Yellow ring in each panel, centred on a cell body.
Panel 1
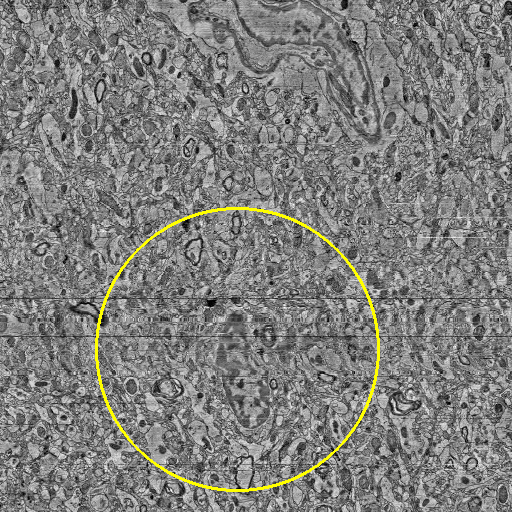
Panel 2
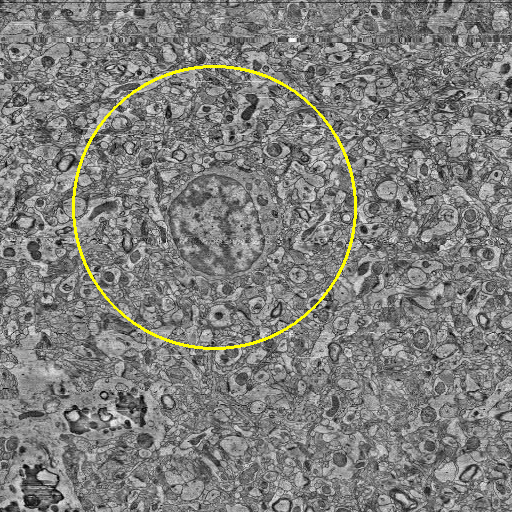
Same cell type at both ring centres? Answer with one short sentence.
No, the two cells are of two types.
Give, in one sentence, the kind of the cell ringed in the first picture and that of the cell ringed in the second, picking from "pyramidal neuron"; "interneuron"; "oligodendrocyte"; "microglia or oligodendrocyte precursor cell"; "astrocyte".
For the first picture it is a microglial cell or oligodendrocyte precursor cell; for the second, an oligodendrocyte.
